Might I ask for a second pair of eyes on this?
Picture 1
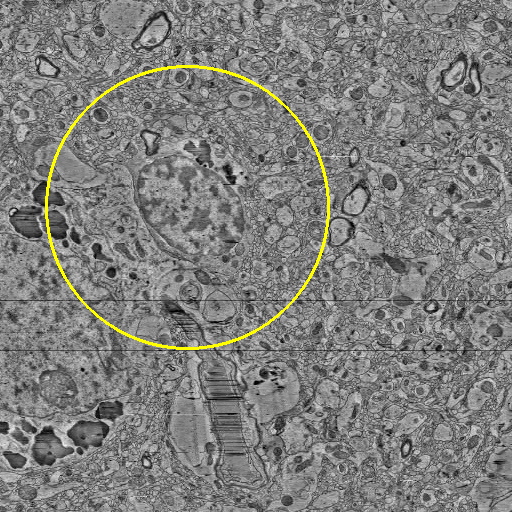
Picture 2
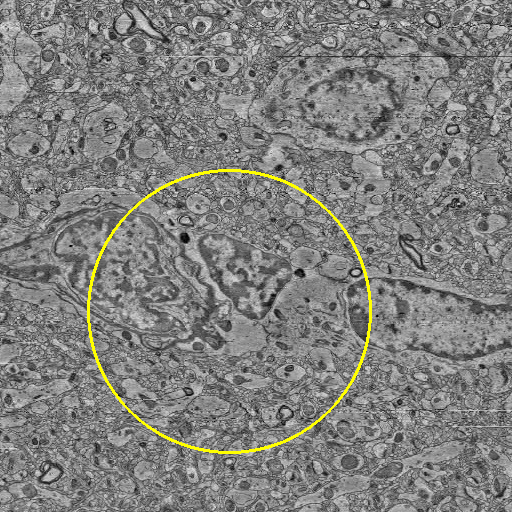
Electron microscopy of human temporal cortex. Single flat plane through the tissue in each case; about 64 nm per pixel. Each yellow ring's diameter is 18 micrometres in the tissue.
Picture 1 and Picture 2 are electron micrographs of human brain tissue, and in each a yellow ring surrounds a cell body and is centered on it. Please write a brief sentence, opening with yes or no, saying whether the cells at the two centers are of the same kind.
No, the cells are of two kinds.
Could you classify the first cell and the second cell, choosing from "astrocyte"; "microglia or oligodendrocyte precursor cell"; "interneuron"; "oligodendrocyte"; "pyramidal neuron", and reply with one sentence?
The second cell is a microglial cell or oligodendrocyte precursor cell, while the first is an oligodendrocyte.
